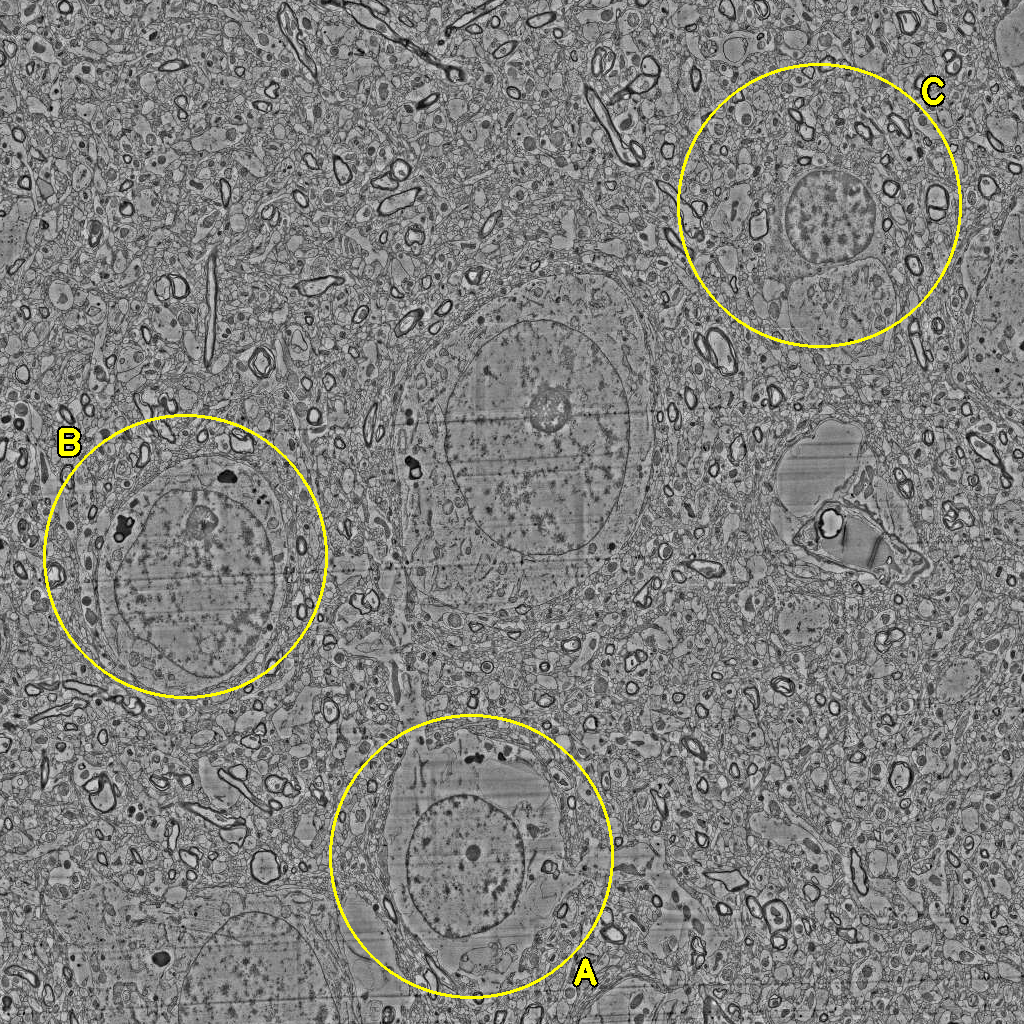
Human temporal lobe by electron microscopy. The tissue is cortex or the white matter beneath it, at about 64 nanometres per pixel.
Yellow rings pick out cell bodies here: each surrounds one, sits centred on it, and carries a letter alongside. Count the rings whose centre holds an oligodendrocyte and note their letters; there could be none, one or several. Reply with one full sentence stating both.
The ring labelled C stands alone as the one ring centred on an oligodendrocyte.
